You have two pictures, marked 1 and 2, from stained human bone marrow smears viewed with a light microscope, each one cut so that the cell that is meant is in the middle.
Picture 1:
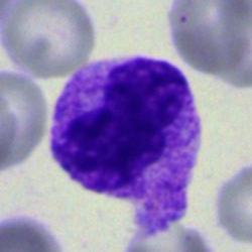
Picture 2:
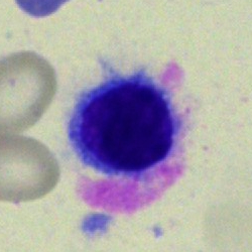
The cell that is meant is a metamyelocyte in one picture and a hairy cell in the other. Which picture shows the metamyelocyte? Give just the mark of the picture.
1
